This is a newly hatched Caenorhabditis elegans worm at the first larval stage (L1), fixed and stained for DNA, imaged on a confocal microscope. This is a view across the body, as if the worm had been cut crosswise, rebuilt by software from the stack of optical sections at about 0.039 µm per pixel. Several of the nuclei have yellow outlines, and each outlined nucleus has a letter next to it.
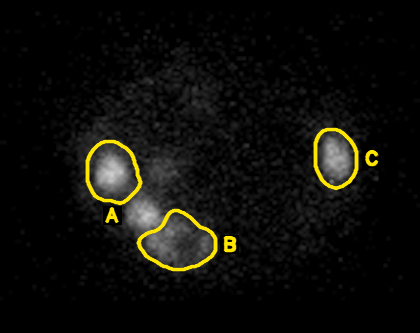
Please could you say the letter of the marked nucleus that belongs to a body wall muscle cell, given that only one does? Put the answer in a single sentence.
Nucleus C belongs to a body wall muscle cell.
